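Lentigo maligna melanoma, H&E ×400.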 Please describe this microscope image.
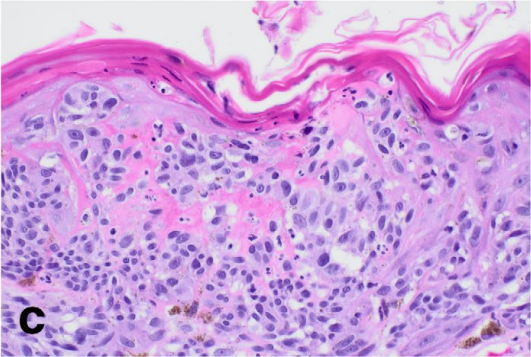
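Skin surface in which the thinned epidermis is filled by crowded atypical cells with large, pleomorphic, dark-staining nuclei, some with visible nucleoli, and pale to pink cytoplasm, reaching up to a thin compact layer of pink keratin. Wisps of pink glassy material lie among the cells, and scattered brown pigment granules are seen in the lower part of the field.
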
